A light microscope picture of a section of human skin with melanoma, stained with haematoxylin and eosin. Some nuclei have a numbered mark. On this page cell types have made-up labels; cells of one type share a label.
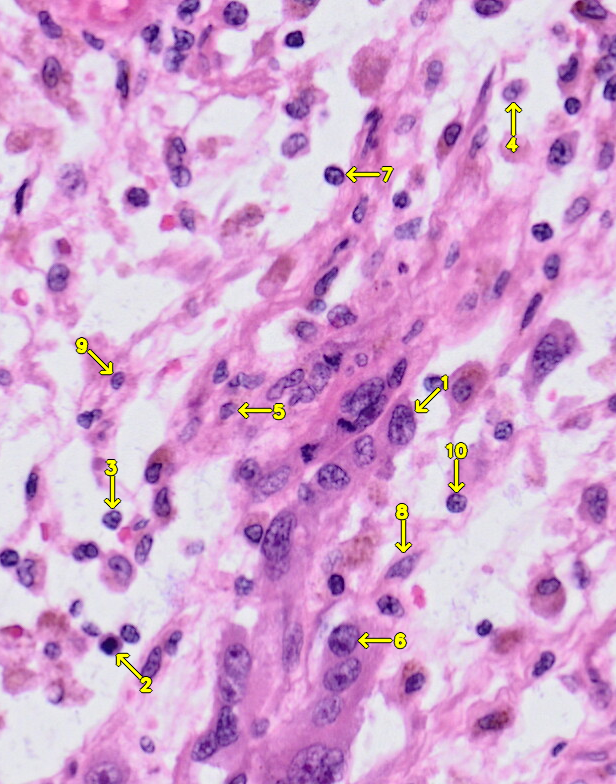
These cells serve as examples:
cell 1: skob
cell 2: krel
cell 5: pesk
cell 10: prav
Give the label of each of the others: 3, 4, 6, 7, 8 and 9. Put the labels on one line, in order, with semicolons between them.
prav; pesk; skob; prav; pesk; prav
